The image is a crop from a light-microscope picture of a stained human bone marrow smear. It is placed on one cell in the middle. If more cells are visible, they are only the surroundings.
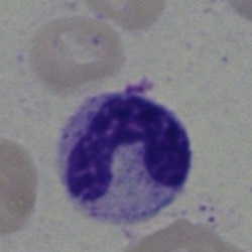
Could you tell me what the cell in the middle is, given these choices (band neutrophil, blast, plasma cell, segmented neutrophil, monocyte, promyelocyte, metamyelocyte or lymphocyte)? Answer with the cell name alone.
band neutrophil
